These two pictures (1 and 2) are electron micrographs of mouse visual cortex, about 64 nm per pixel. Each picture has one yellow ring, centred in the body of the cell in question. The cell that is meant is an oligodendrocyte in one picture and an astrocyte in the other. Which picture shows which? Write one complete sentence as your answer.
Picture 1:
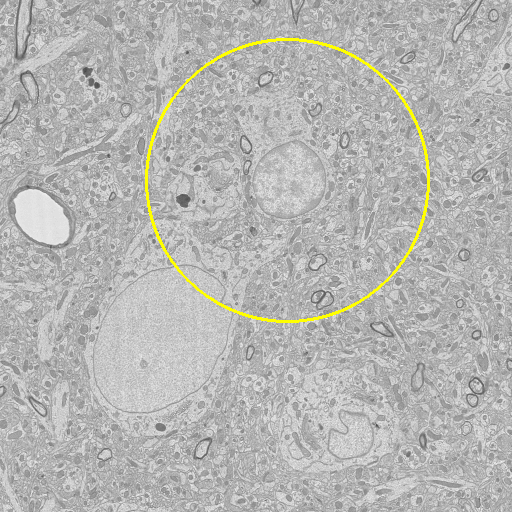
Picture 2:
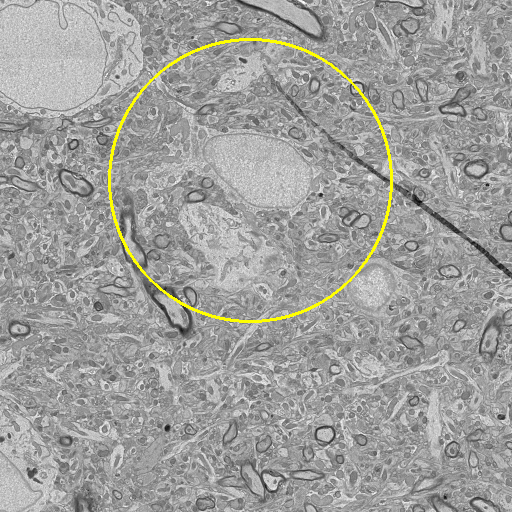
Picture 1 is of an oligodendrocyte, and picture 2 is of an astrocyte.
